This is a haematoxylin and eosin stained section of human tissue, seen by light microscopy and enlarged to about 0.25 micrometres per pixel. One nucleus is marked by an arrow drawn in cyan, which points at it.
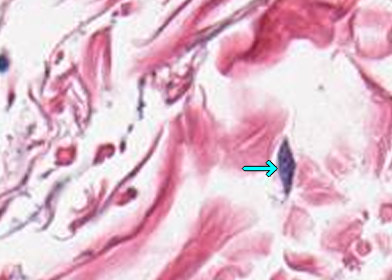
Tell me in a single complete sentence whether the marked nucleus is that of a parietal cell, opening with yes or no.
No, the marked nucleus belongs to a supporting cell of connective tissue, a vessel or the immune system, not to a parietal cell.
